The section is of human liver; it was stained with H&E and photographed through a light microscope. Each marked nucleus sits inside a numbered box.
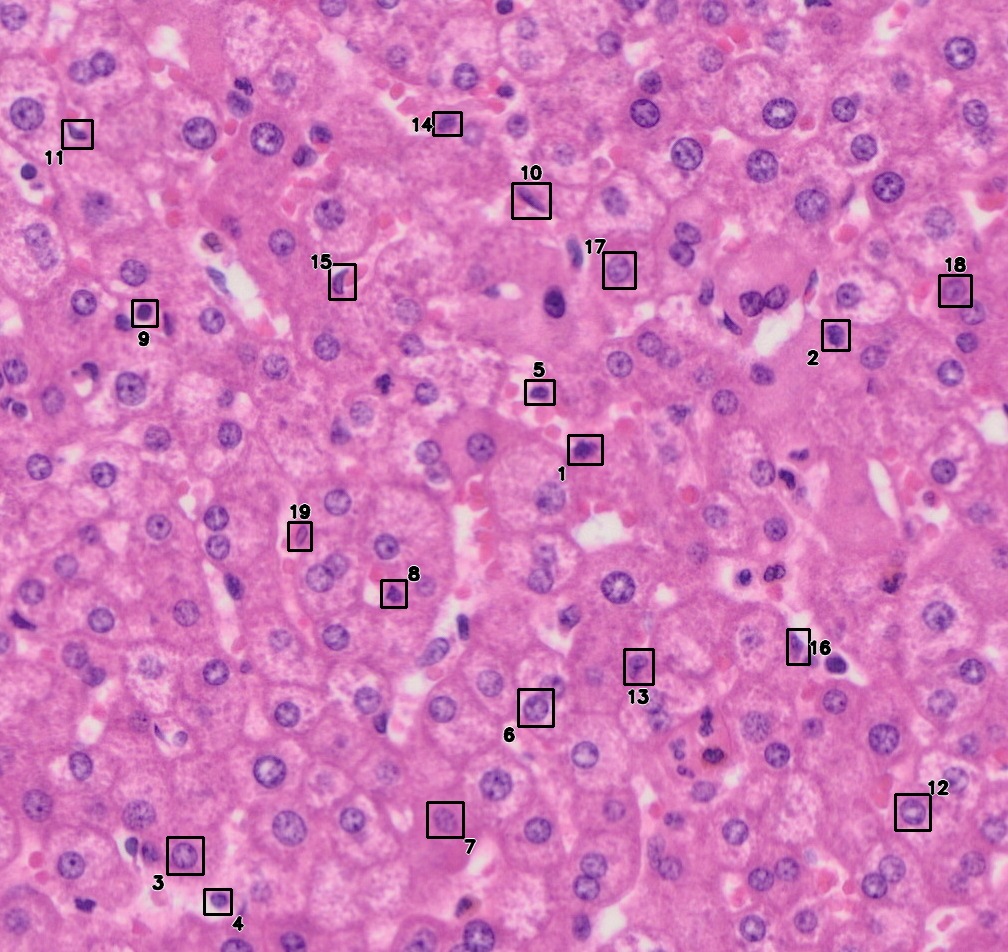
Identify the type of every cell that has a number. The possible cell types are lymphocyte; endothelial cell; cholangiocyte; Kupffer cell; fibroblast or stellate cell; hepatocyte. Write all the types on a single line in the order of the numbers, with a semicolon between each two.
fibroblast or stellate cell; fibroblast or stellate cell; hepatocyte; lymphocyte; lymphocyte; hepatocyte; hepatocyte; fibroblast or stellate cell; lymphocyte; endothelial cell; endothelial cell; hepatocyte; endothelial cell; fibroblast or stellate cell; endothelial cell; endothelial cell; hepatocyte; hepatocyte; Kupffer cell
